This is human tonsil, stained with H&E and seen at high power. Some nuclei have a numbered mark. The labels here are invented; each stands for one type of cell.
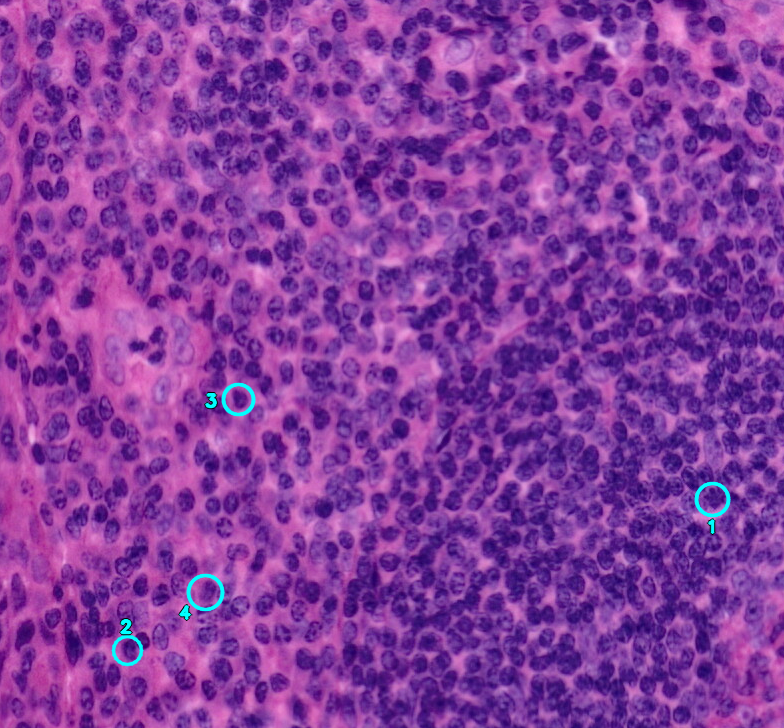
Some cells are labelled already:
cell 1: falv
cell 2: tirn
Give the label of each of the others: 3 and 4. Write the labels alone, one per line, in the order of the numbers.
tirn
tirn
